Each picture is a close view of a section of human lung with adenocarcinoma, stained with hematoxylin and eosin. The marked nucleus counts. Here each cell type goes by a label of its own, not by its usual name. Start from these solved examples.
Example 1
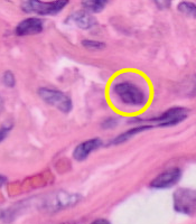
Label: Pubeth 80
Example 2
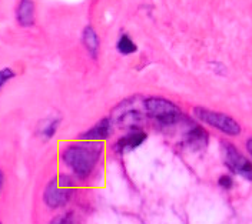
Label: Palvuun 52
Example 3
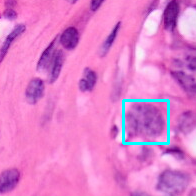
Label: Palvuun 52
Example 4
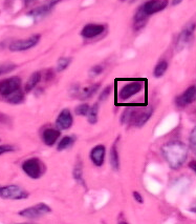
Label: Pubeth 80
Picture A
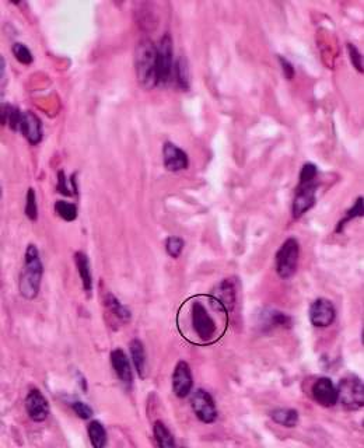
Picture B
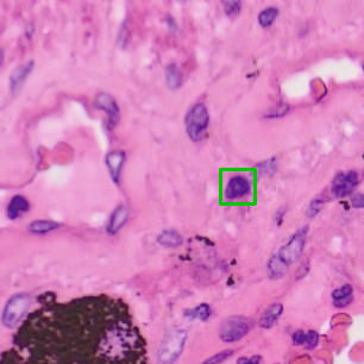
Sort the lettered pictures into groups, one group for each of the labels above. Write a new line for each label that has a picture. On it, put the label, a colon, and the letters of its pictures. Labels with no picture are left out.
Pubeth 80: A, B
